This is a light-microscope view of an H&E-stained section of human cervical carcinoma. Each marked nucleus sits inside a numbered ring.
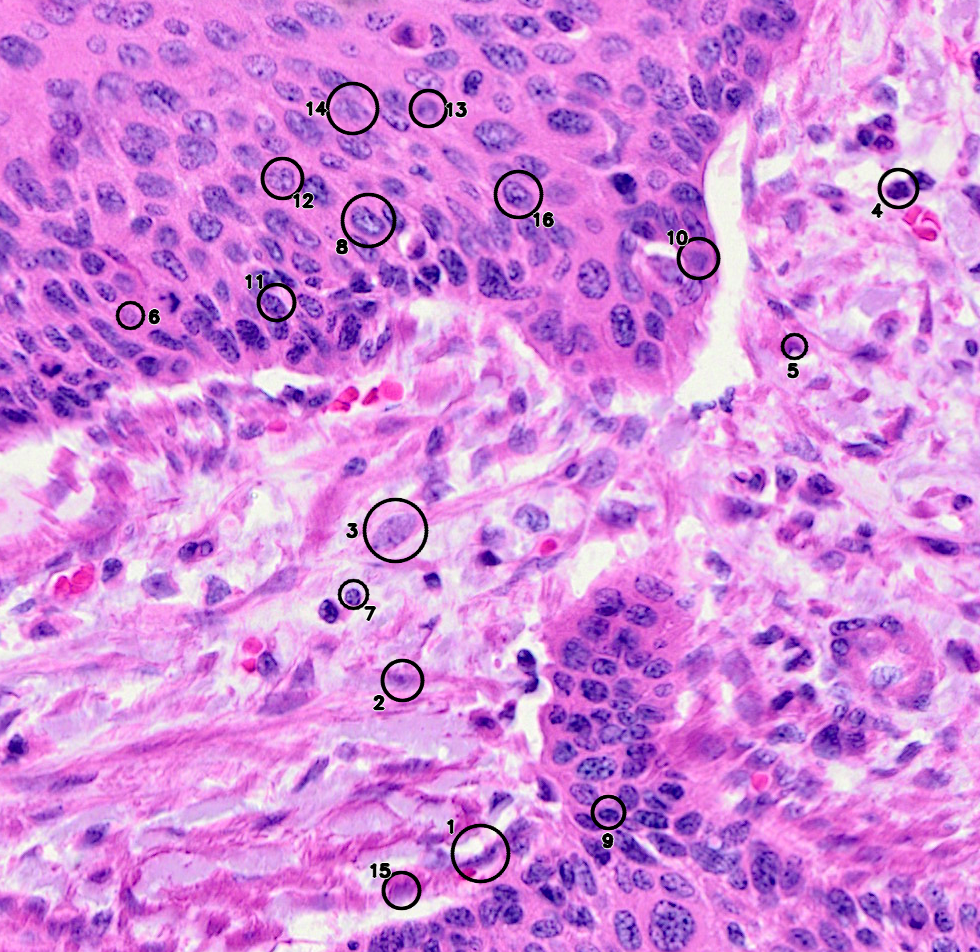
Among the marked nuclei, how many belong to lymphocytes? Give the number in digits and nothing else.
2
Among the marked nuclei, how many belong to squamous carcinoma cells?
9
